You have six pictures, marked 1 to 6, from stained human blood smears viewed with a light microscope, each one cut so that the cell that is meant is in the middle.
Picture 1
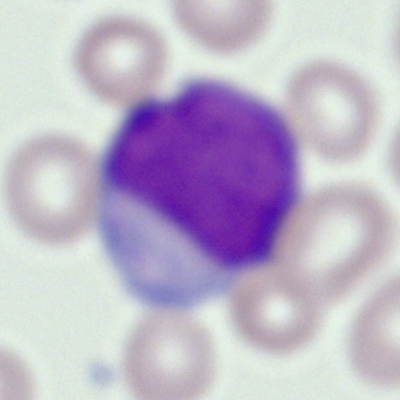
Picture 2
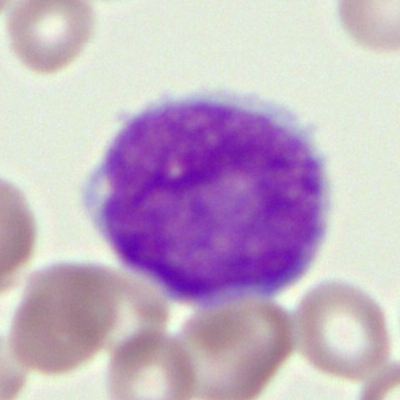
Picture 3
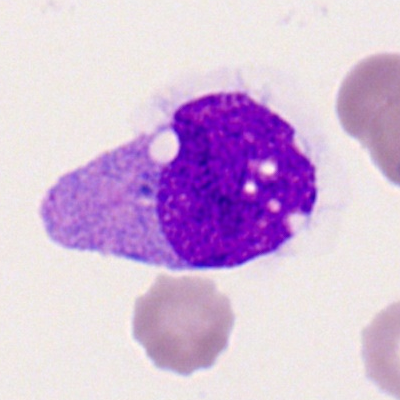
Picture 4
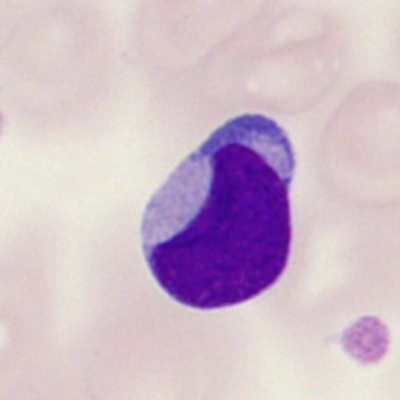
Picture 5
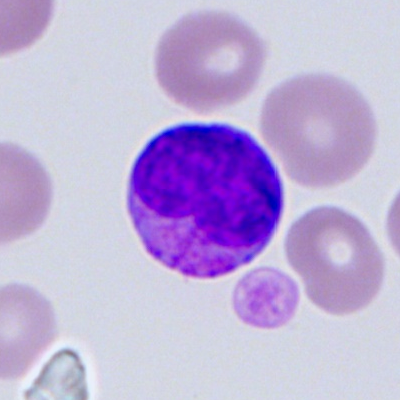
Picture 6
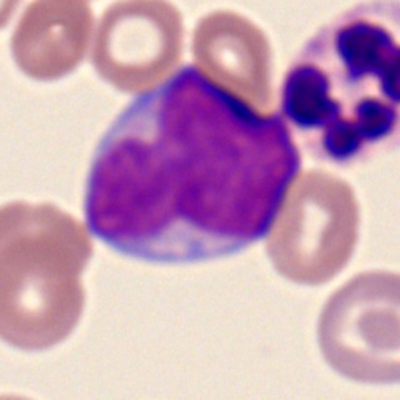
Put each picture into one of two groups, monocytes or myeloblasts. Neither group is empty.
1: myeloblast
2: monocyte
3: monocyte
4: myeloblast
5: myeloblast
6: myeloblast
